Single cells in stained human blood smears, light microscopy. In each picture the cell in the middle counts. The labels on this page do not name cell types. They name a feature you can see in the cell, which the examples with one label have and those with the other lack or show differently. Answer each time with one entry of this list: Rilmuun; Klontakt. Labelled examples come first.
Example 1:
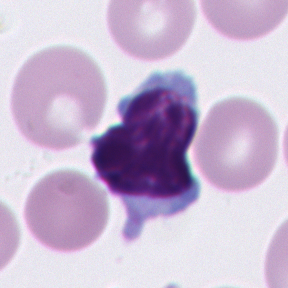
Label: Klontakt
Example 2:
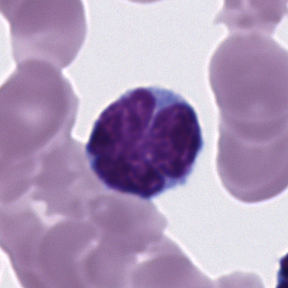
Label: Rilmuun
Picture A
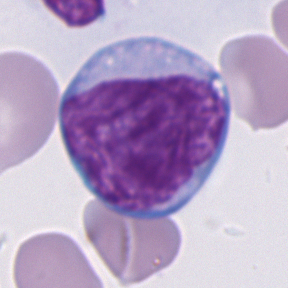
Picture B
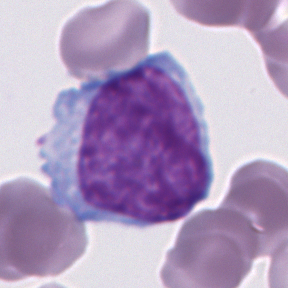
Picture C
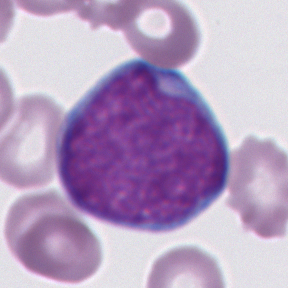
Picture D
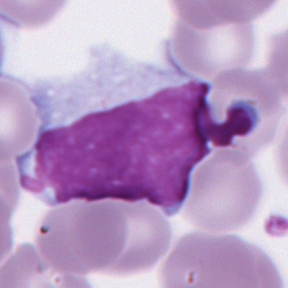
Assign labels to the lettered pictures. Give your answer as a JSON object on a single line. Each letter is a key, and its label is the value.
{"A": "Rilmuun", "B": "Klontakt", "C": "Rilmuun", "D": "Klontakt"}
